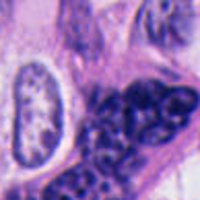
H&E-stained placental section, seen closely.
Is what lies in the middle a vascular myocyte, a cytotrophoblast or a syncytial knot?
It is a syncytial knot.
